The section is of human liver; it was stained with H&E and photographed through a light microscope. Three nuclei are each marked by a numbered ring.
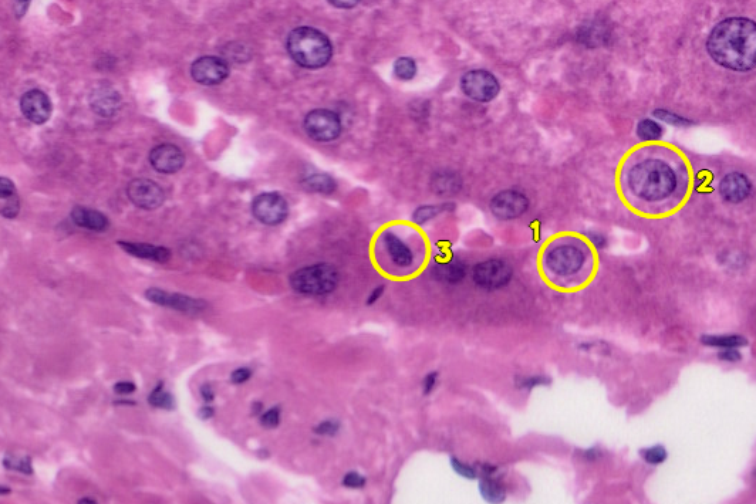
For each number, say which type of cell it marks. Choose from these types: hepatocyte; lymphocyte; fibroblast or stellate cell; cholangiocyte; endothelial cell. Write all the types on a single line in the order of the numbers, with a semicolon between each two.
hepatocyte; hepatocyte; fibroblast or stellate cell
